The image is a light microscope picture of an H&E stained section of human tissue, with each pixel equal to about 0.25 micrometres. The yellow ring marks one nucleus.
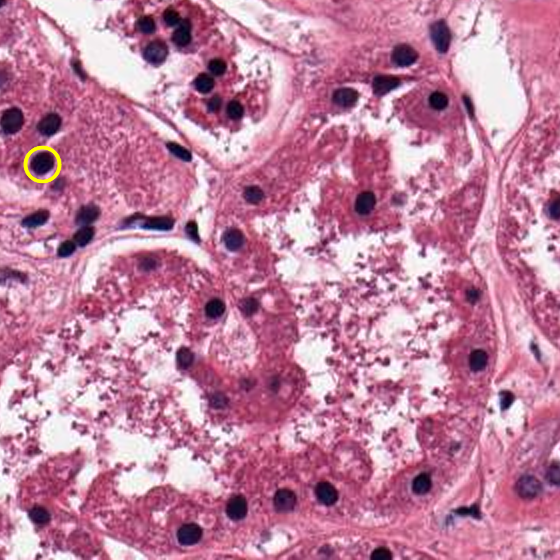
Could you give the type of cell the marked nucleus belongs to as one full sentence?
The marked nucleus sits within a proximal tubule cell.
